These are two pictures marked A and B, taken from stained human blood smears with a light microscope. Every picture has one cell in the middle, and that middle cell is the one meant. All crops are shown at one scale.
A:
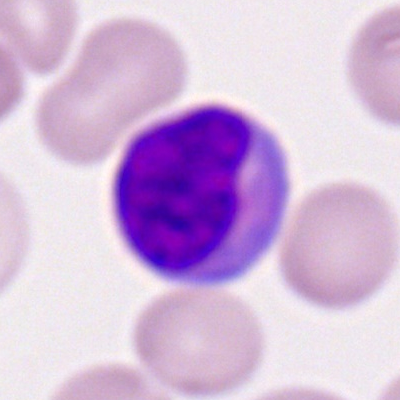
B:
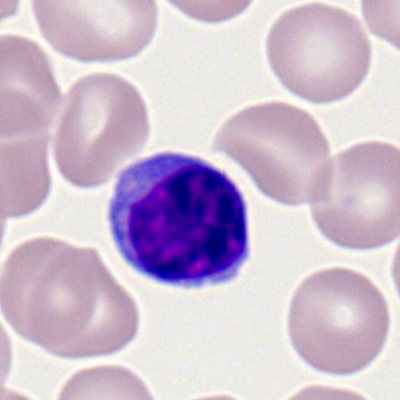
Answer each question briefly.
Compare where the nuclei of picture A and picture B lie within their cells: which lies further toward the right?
B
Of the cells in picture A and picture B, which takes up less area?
B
